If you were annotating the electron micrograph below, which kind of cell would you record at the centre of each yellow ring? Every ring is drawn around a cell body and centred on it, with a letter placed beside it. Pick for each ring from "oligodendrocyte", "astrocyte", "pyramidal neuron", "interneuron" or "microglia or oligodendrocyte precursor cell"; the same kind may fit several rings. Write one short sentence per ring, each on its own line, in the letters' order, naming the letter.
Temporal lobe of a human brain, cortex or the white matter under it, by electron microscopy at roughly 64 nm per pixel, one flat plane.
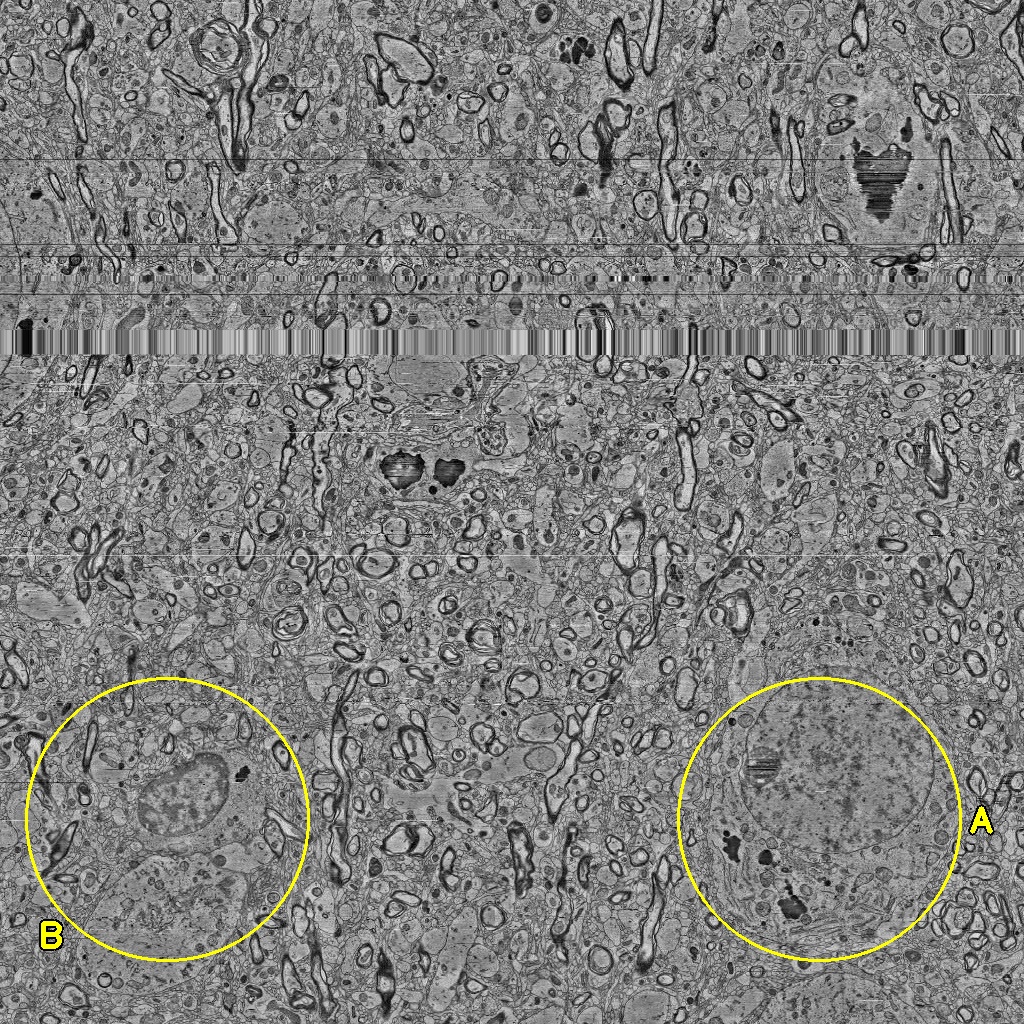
For ring A, I would record an interneuron.
For ring B, I would record an oligodendrocyte.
